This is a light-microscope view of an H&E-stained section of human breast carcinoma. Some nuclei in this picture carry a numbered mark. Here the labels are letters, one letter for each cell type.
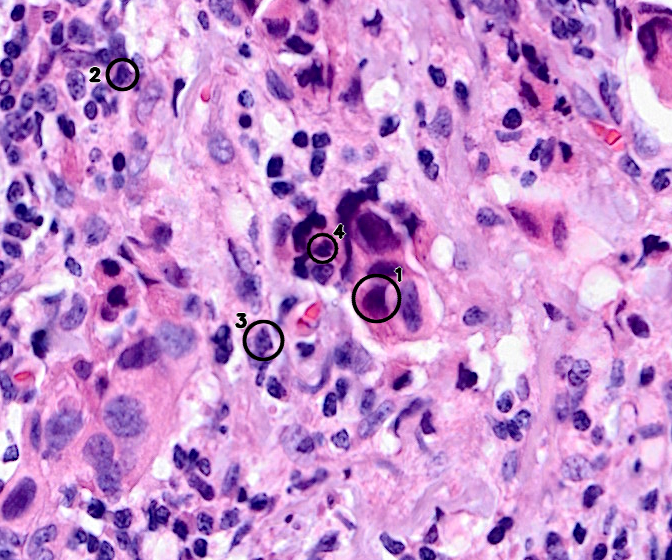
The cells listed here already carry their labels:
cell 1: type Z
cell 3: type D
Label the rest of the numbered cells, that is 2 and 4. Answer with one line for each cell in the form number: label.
2: type D
4: type D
